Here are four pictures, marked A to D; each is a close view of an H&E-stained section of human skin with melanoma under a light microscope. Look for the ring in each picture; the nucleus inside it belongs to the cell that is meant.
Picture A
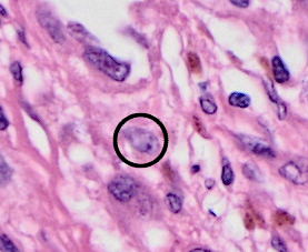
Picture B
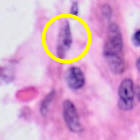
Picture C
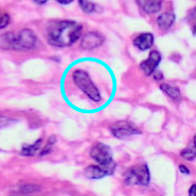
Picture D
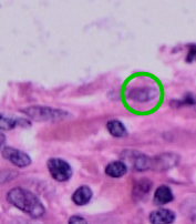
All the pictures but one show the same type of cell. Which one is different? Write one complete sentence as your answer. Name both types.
Picture B is the odd one out: it shows a “fibroblast or myofibroblast”, while the others show “macrophages or monocytes”.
